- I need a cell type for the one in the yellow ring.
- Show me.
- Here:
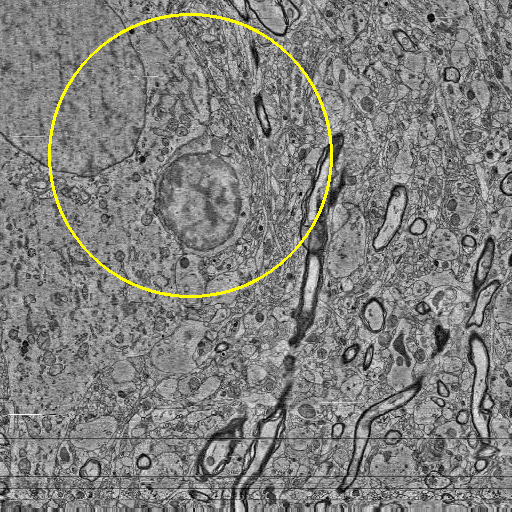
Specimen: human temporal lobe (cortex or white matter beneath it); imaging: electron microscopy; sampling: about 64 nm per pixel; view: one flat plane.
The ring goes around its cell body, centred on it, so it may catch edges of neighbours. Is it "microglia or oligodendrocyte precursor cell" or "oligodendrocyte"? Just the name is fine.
oligodendrocyte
